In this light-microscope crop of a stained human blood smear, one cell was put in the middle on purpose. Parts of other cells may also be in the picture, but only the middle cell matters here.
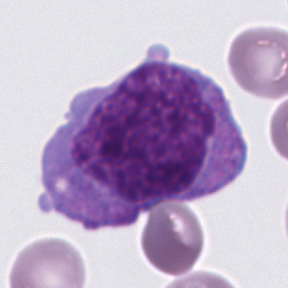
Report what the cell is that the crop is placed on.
atypical promyelocyte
